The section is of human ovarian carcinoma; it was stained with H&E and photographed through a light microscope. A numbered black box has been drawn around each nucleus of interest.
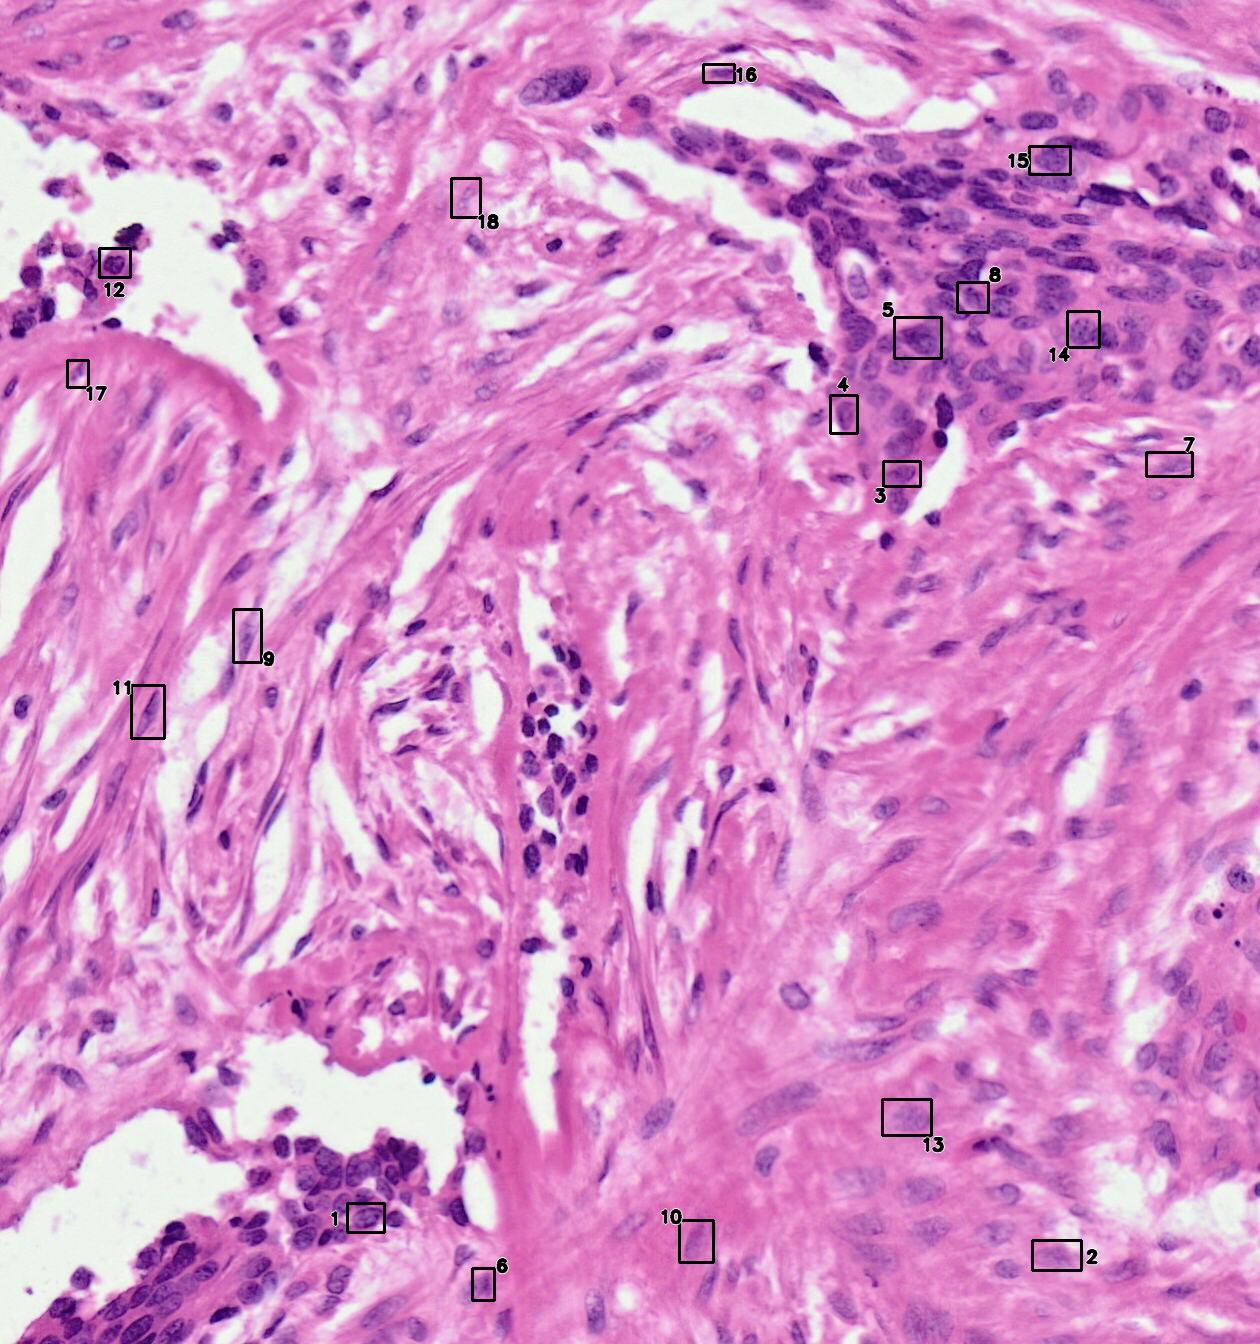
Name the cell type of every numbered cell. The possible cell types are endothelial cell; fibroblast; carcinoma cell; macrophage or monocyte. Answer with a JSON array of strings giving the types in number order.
["carcinoma cell", "fibroblast", "carcinoma cell", "carcinoma cell", "carcinoma cell", "fibroblast", "fibroblast", "carcinoma cell", "fibroblast", "fibroblast", "fibroblast", "macrophage or monocyte", "fibroblast", "carcinoma cell", "carcinoma cell", "fibroblast", "fibroblast", "fibroblast"]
